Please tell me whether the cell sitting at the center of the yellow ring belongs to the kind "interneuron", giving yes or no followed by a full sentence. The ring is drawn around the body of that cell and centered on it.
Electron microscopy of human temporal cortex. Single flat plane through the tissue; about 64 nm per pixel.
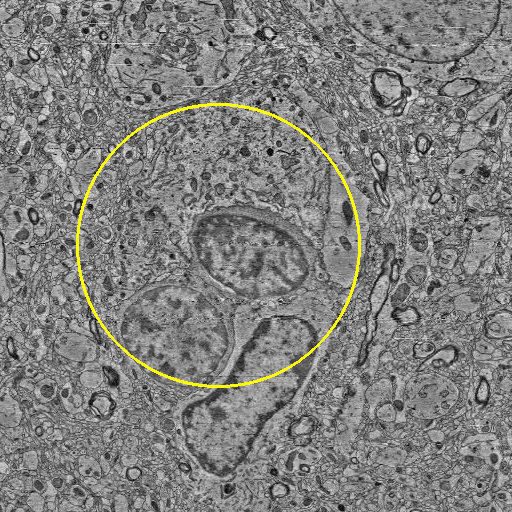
No, the cell at the center of the ring in the picture is of another kind.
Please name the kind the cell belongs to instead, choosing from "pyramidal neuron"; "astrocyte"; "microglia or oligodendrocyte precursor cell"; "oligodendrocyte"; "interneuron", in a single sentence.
Instead, the ring in this picture marks an oligodendrocyte.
